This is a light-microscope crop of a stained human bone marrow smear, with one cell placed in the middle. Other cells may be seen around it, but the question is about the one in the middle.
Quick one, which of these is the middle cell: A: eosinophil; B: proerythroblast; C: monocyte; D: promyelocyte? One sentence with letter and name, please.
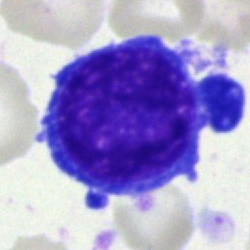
Option B is to be chosen, as the central cell is a proerythroblast.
